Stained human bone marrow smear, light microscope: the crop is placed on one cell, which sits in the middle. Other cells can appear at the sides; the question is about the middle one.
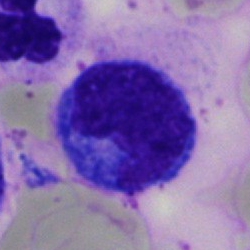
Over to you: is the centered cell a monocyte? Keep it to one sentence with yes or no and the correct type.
Yes, the cell that the crop is centred on is a monocyte.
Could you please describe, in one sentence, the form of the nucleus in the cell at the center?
Key feature: a single compact nucleus, round, oval or kidney-shaped.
